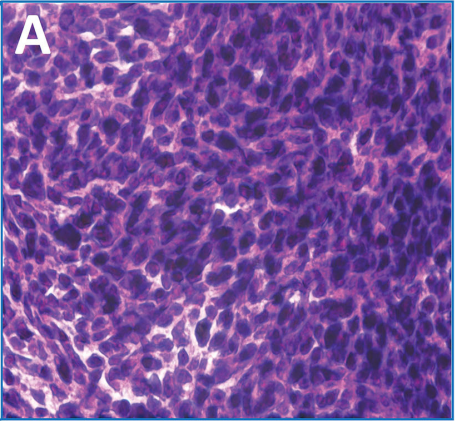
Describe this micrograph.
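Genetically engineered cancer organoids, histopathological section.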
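This is a densely cellular section of cancerous tissue in which the cells are crowded together in sheets with no obvious organised layering. The nuclei are large, oval to irregular and stained deep purple, and they vary somewhat in size and shape from cell to cell. Each nucleus is surrounded by only a scant, pale pink rim of cytoplasm, so the nuclei take up most of the cell area. Between the cells there are fine wispy pink strands and a few small clear spaces. The overall picture is of a high nuclear to cytoplasmic ratio and marked cell crowding, as seen in cancerous tissue.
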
